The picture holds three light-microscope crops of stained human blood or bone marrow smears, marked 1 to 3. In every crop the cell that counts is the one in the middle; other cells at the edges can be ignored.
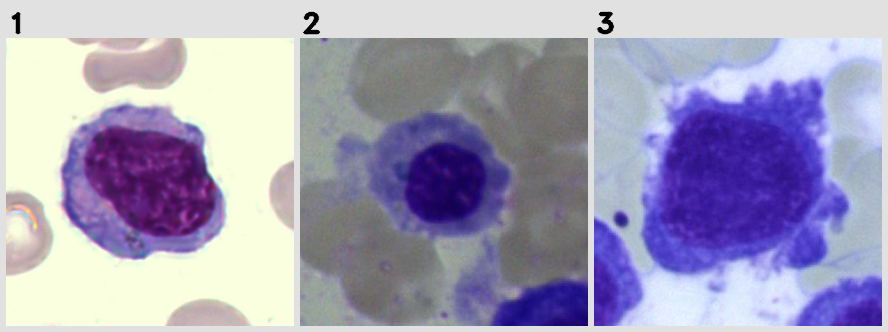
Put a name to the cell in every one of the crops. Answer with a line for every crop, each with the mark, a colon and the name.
1: plasma cell
2: erythroblast
3: plasma cell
